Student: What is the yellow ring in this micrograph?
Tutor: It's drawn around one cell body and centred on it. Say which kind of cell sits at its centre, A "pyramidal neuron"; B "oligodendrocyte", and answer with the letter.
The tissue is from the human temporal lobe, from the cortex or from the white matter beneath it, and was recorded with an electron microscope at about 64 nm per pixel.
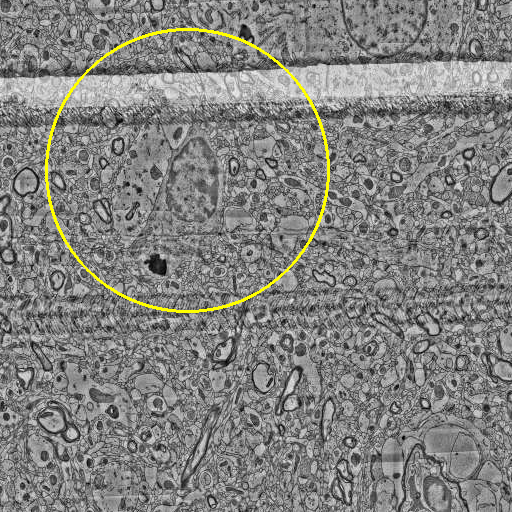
B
